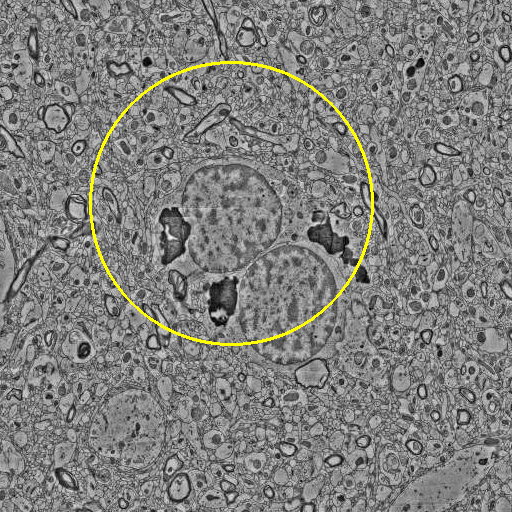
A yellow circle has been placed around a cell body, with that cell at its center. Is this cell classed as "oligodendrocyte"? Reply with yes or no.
Yes, it belongs to that class.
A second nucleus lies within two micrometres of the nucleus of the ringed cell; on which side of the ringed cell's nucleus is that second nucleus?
The other nucleus sits to the lower right of it.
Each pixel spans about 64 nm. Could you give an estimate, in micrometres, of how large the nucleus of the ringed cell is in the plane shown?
The nucleus is about 7 micrometres across in this plane.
